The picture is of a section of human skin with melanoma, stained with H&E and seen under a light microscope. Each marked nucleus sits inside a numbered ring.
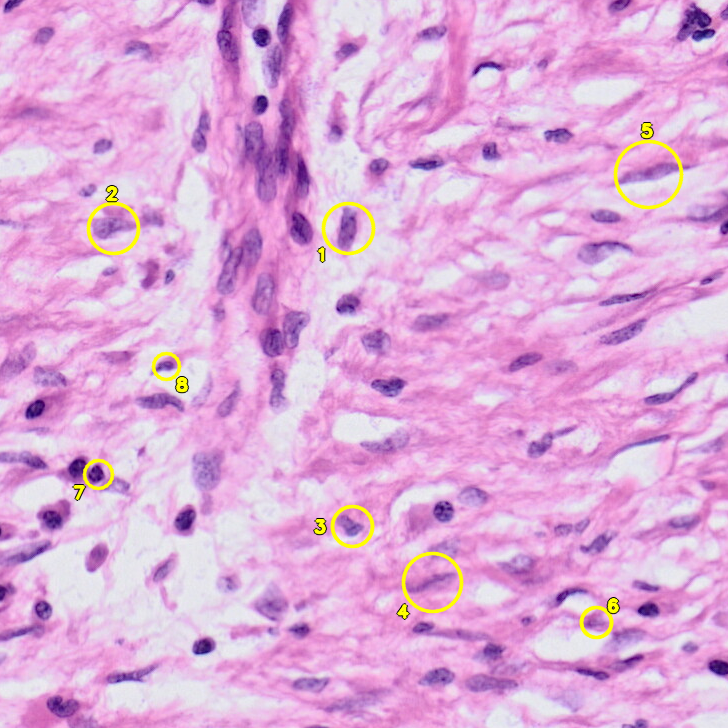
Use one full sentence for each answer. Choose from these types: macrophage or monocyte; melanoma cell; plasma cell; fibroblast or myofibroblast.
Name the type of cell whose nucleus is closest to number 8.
The nucleus nearest to number 8 is that of a macrophage or monocyte.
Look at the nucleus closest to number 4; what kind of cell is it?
The nucleus nearest to number 4 is that of a fibroblast or myofibroblast.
